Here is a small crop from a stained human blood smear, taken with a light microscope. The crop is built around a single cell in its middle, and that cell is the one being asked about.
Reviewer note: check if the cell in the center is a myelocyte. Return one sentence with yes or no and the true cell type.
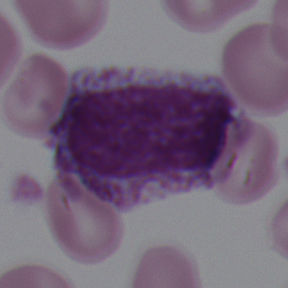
Yes, the cell in the centre is a myelocyte.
